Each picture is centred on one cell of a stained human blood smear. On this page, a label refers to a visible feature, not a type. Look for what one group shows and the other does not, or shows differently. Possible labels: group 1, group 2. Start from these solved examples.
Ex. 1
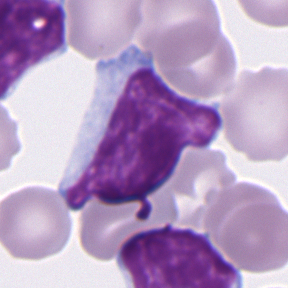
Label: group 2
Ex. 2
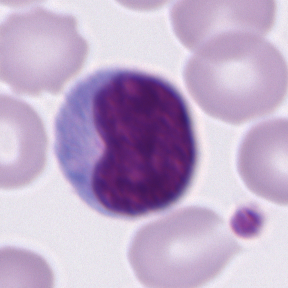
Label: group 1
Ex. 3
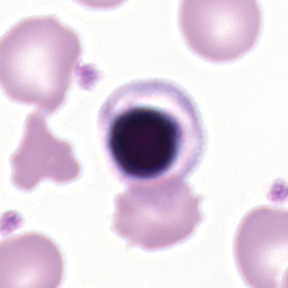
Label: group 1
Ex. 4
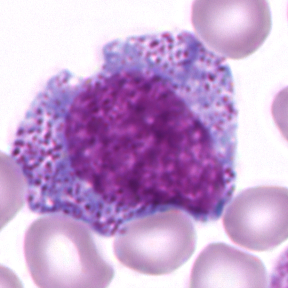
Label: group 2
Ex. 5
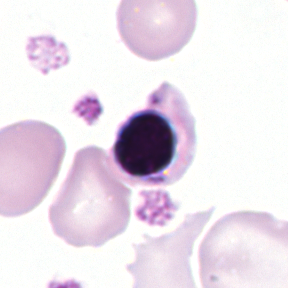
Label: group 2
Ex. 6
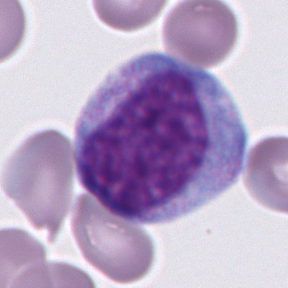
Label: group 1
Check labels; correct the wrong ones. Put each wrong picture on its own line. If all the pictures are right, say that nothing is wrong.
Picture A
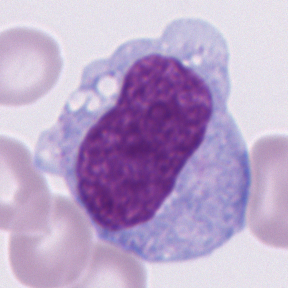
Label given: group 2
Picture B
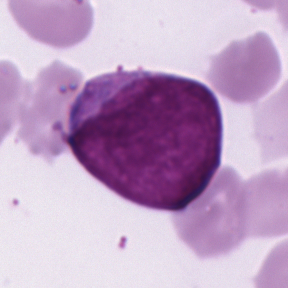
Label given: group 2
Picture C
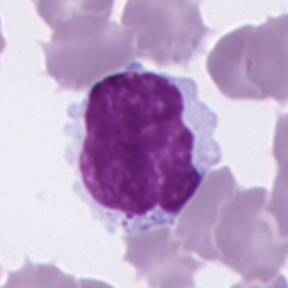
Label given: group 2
B is labelled group 2; correct label: group 1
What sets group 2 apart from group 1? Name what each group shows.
Seen in group 2: ragged outline or projections; seen in group 1: smooth outline.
